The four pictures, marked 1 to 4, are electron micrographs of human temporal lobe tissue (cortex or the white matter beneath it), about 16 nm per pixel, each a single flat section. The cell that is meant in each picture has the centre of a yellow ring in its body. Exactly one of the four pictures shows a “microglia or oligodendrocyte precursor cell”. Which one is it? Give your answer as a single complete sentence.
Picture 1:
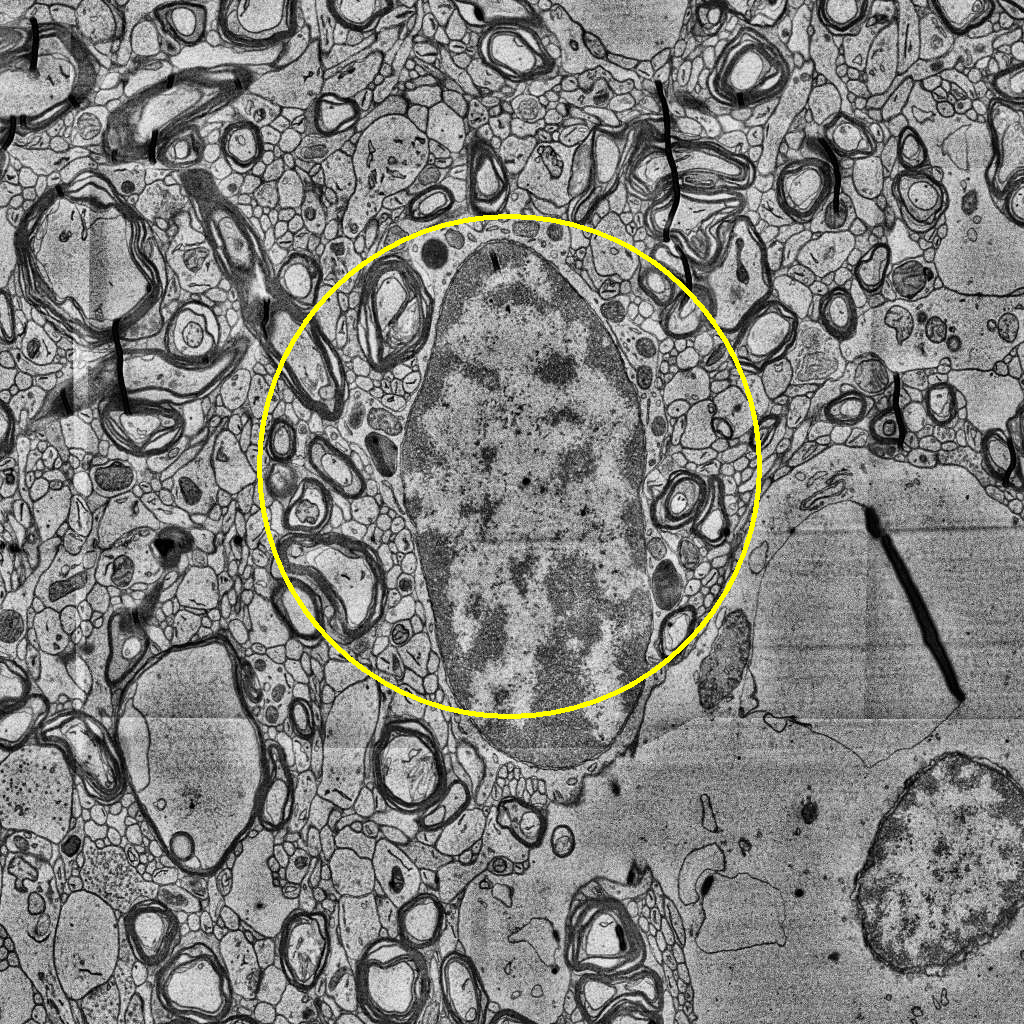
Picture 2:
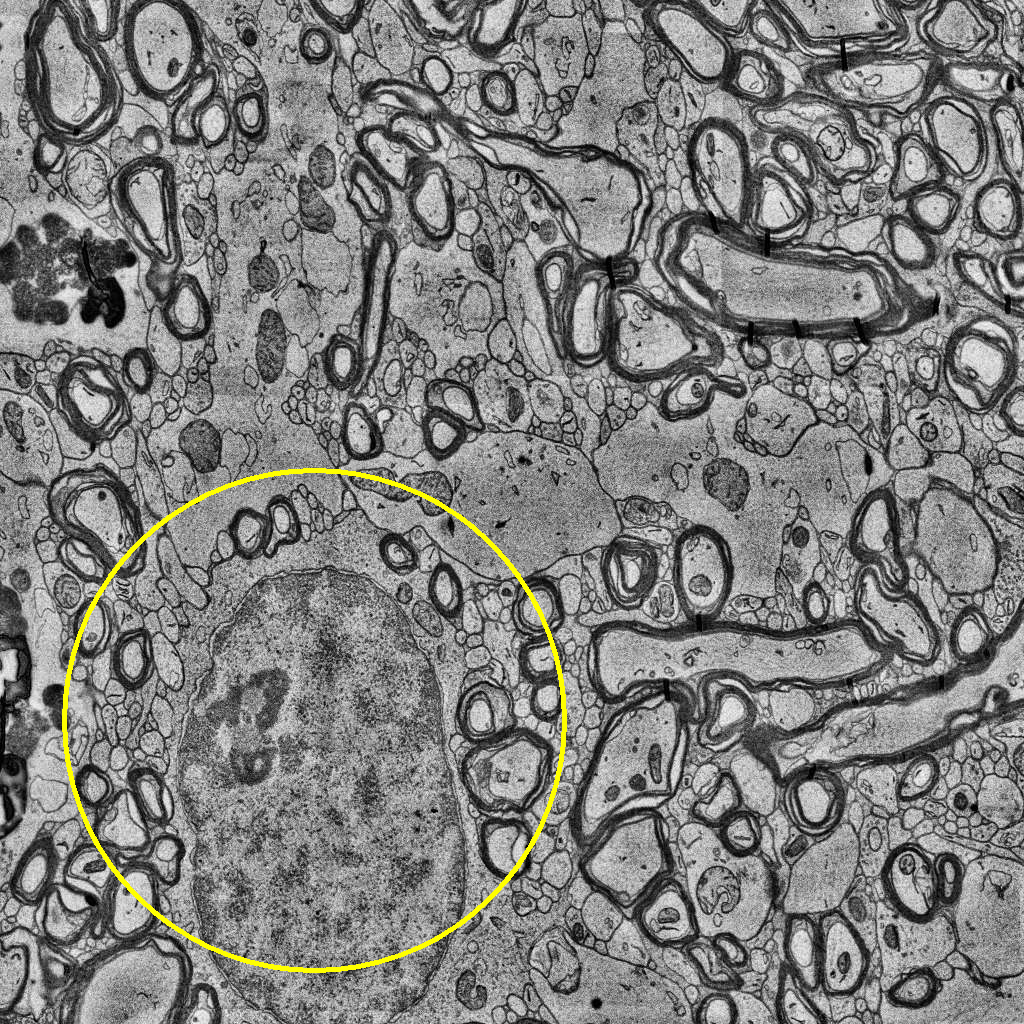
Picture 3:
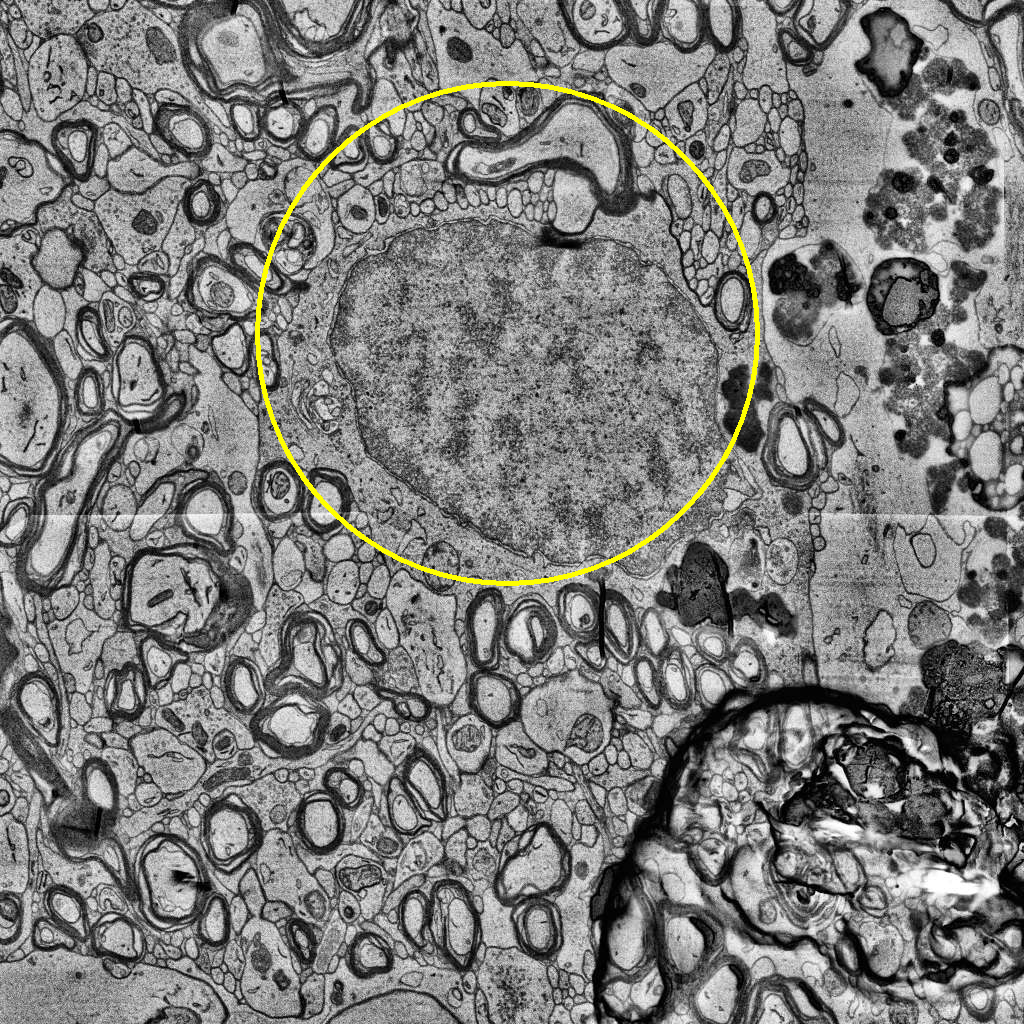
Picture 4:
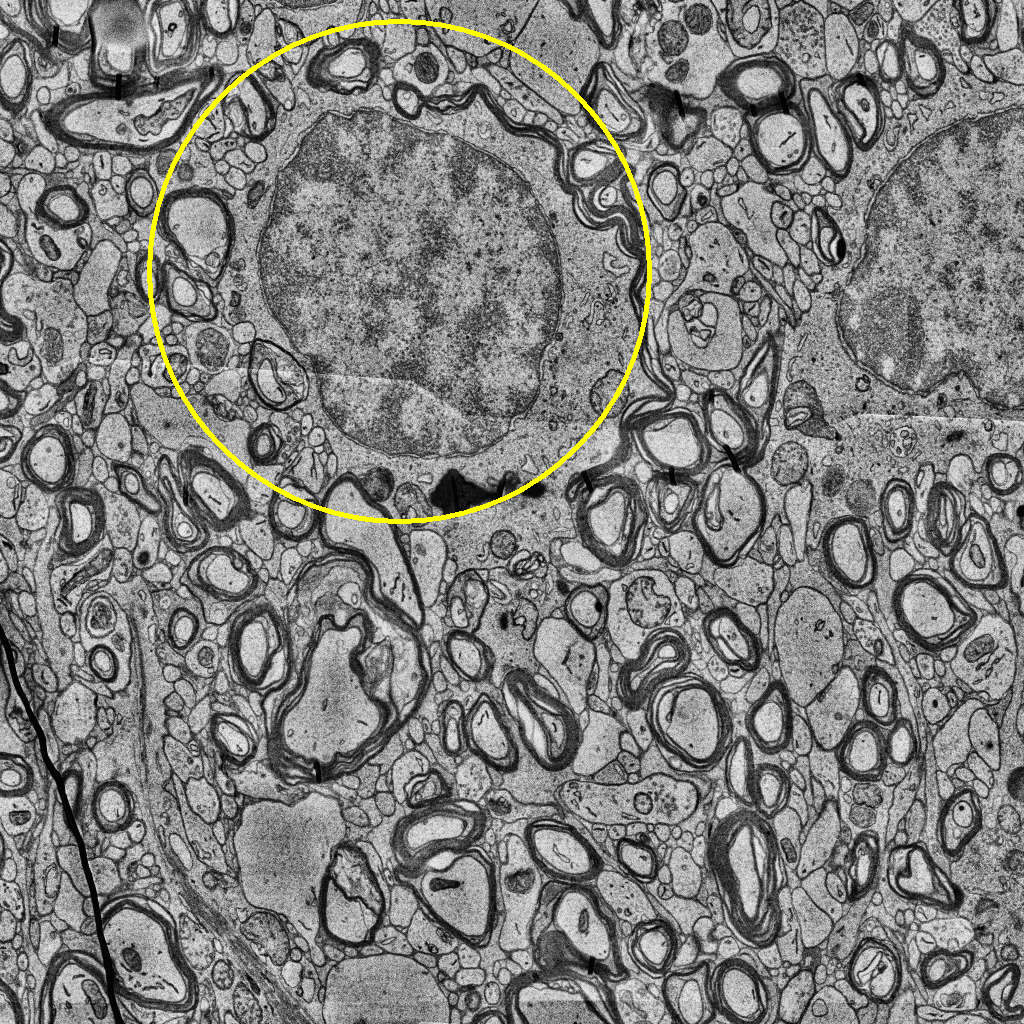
Picture 1 shows the “microglia or oligodendrocyte precursor cell”.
